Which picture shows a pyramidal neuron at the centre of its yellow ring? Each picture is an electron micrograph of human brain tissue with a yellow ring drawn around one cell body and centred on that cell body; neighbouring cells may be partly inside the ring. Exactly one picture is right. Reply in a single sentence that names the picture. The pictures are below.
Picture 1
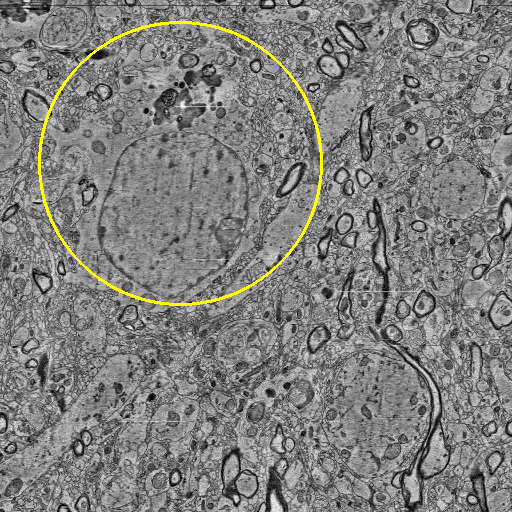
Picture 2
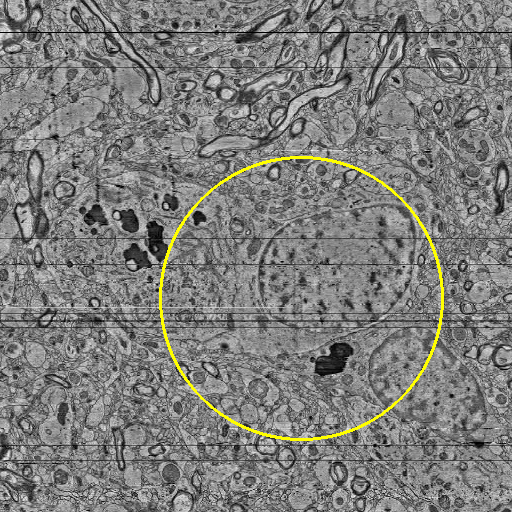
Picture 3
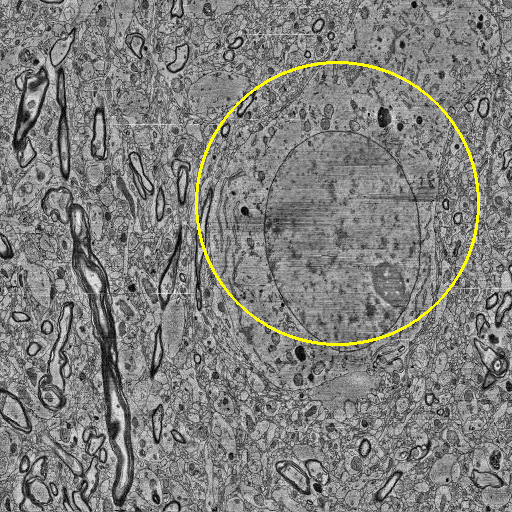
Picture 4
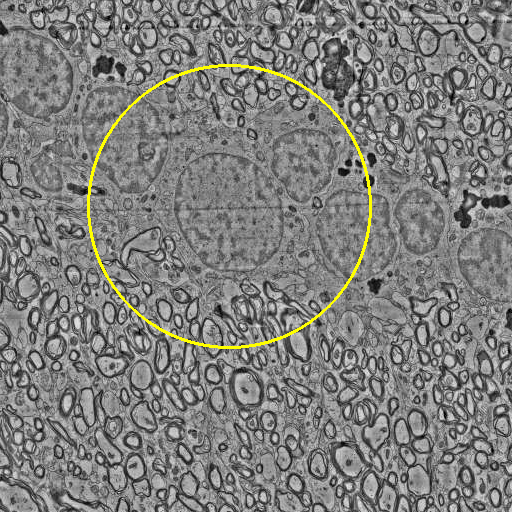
Picture 3 shows it.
